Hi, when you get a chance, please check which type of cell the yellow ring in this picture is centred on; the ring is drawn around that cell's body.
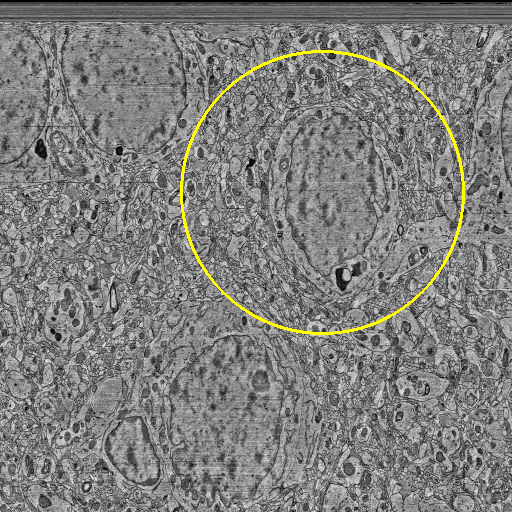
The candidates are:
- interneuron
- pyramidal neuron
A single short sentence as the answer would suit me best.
The ring is drawn around the body of an interneuron.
